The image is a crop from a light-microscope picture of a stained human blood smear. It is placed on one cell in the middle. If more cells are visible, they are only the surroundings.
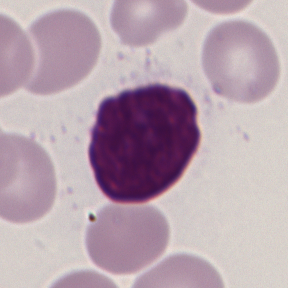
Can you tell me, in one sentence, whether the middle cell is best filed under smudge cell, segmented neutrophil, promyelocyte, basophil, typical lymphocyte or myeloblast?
The cell occupying the middle of the crop is a smudge cell.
